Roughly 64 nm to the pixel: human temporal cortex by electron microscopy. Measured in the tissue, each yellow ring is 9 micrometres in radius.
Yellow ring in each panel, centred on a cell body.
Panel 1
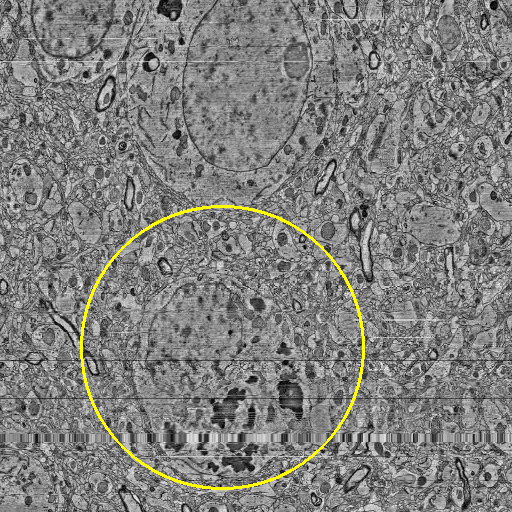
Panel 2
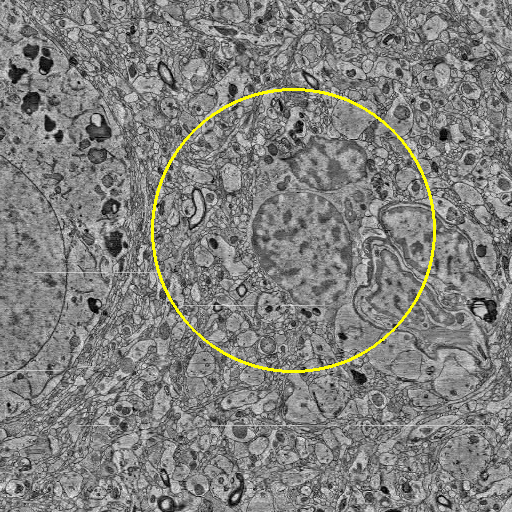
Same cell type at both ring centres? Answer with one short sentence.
No, the two cells are of two types.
